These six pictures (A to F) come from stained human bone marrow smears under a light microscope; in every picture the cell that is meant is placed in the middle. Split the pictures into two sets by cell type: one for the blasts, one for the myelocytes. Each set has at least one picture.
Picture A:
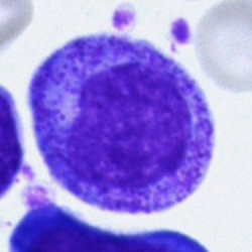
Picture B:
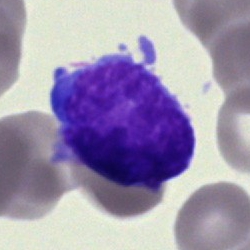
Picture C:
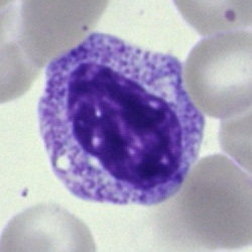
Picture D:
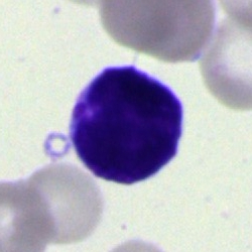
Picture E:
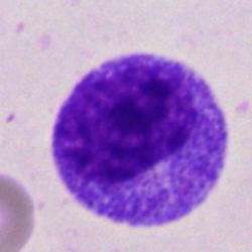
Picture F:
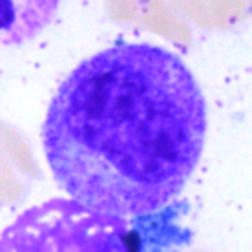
A: myelocyte
B: blast
C: myelocyte
D: blast
E: myelocyte
F: myelocyte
